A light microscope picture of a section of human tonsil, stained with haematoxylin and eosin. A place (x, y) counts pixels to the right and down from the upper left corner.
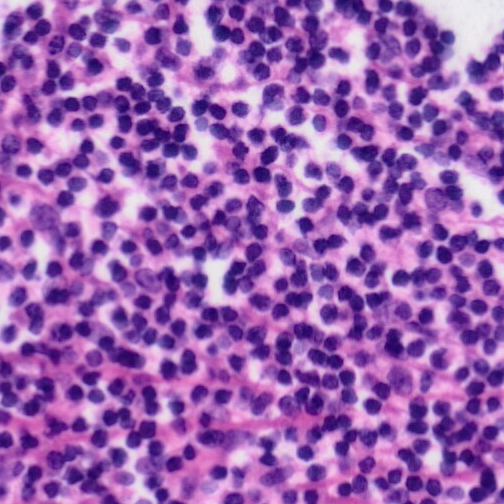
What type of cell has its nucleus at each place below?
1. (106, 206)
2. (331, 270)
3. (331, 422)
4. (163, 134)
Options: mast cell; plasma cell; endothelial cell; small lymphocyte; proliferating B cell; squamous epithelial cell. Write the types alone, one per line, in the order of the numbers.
proliferating B cell
small lymphocyte
small lymphocyte
small lymphocyte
